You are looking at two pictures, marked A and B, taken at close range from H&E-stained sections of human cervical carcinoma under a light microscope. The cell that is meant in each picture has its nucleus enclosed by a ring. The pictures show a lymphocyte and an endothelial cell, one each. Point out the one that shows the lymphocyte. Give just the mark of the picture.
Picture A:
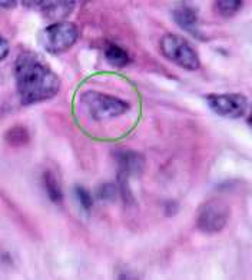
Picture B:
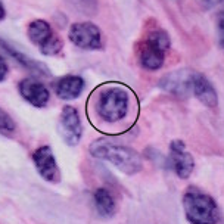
B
